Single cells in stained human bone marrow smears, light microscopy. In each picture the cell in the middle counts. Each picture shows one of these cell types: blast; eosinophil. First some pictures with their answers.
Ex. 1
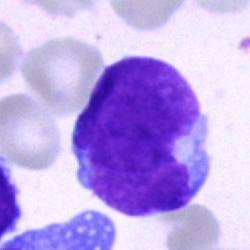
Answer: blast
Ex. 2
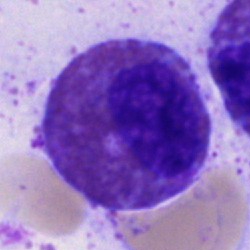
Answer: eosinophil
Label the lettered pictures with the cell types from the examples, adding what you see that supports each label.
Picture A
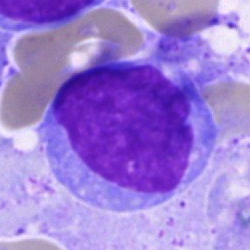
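blast. Evidence: The nucleus fills most of the cell and lies toward its upper side.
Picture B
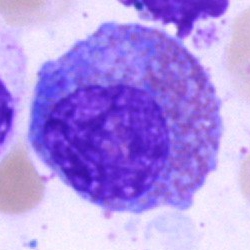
eosinophil. Evidence: The cytoplasm is abundant, forming a wide band above and to the right of the nucleus.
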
